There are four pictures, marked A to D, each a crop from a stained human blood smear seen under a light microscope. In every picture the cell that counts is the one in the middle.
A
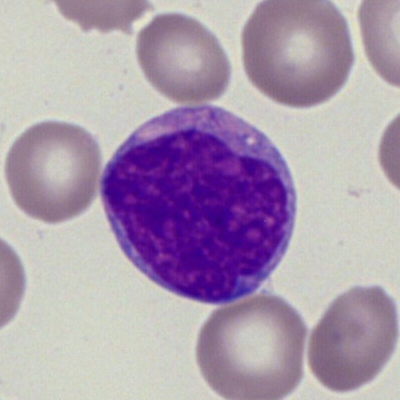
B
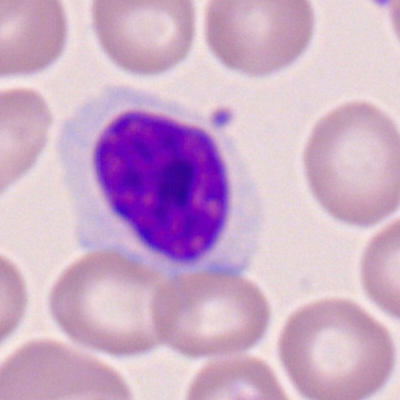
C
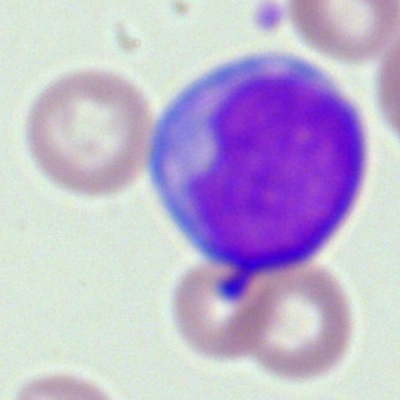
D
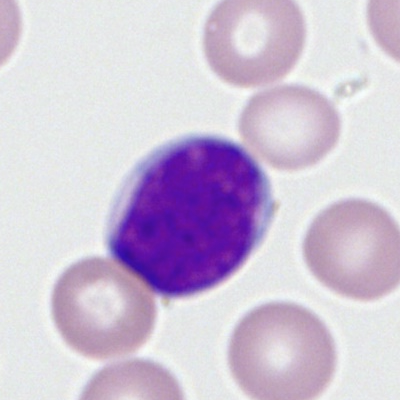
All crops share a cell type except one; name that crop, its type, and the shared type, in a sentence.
Crop B stands apart as a lymphocyte, whereas the remaining crops all show myeloblasts.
